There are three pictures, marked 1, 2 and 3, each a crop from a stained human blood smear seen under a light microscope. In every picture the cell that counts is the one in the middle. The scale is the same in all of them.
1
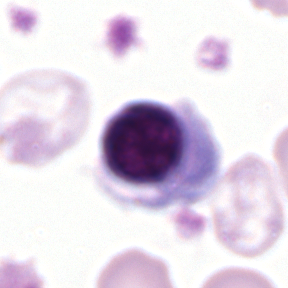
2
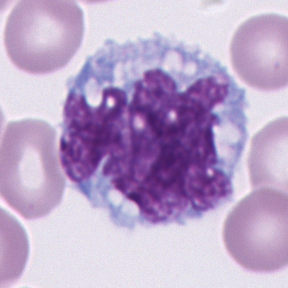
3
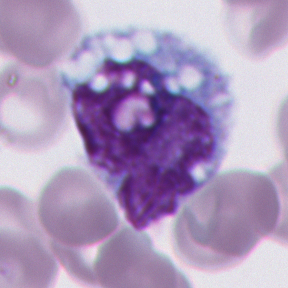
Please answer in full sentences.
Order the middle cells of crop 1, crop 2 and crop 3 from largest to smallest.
The order is 2, 3, 1, beginning with the largest.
